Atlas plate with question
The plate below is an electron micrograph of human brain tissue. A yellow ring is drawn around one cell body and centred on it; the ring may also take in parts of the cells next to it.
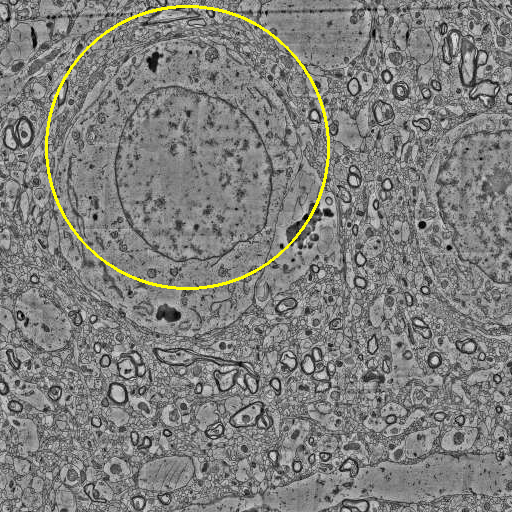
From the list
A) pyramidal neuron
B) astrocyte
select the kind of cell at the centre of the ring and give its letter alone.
A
